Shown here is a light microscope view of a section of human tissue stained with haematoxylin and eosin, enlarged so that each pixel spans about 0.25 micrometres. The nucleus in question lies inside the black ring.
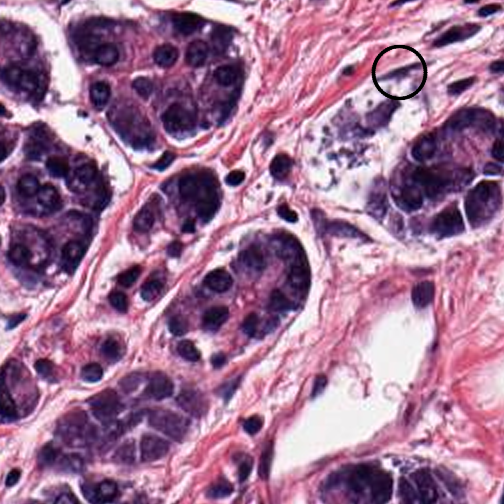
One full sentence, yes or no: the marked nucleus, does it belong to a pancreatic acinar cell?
No, the marked nucleus belongs not to a pancreatic acinar cell but to a supporting cell of connective tissue, a vessel or the immune system.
